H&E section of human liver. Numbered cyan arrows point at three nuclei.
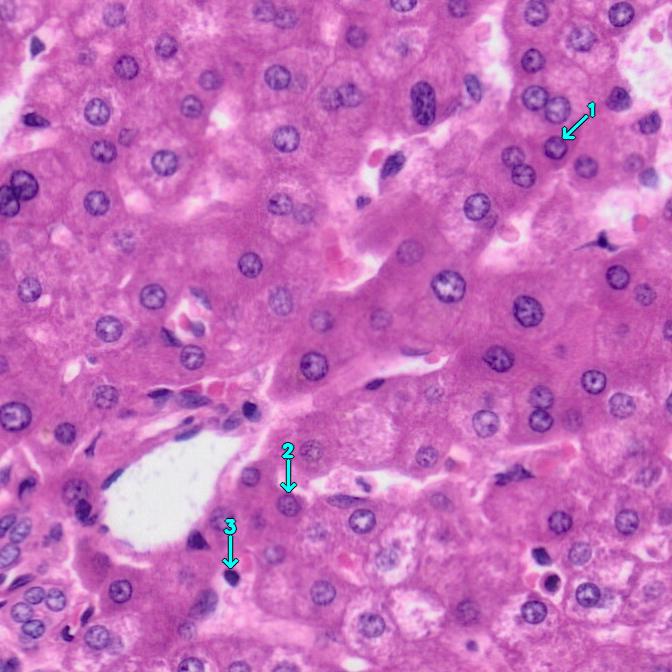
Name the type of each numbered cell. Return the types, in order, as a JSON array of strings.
["hepatocyte", "hepatocyte", "lymphocyte"]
